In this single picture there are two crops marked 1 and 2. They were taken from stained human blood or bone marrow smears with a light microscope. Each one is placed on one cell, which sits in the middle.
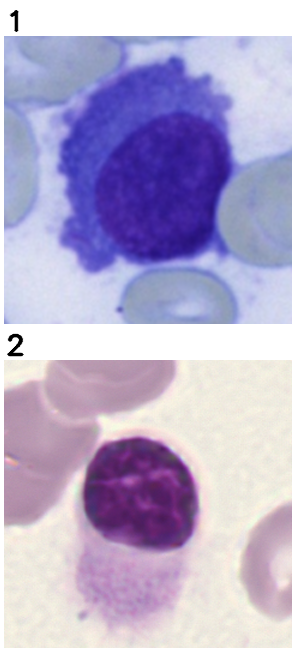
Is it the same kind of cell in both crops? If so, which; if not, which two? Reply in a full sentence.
Yes, they do, both crops show plasma cells.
